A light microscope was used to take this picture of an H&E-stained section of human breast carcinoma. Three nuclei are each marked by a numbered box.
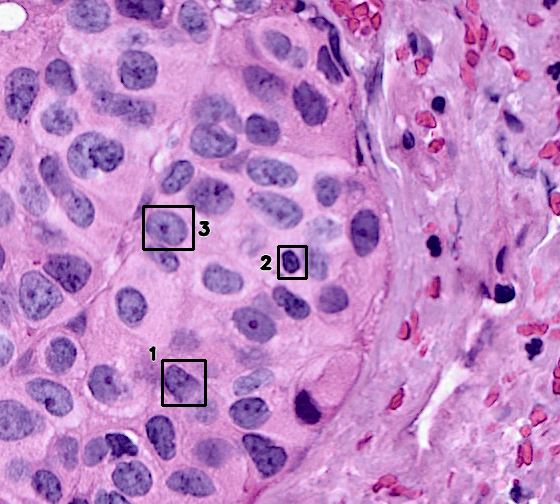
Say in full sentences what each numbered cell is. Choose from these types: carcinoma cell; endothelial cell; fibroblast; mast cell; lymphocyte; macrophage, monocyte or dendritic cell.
Cells 1 and 3 are carcinoma cells. Cell 2 is a lymphocyte.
